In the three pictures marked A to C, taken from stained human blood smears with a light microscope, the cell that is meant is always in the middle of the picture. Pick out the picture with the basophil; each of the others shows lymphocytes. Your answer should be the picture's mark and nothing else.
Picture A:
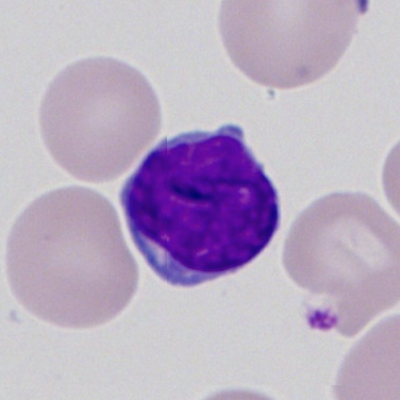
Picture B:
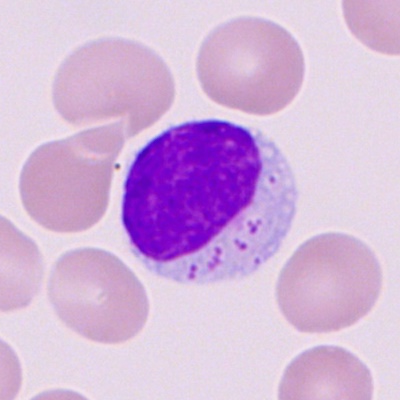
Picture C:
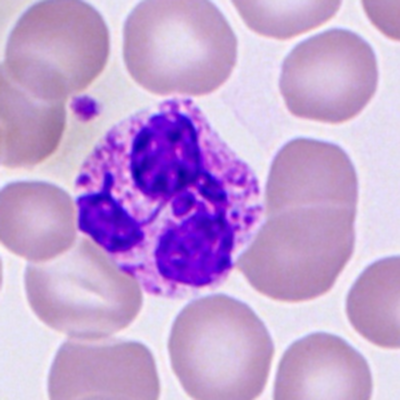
C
